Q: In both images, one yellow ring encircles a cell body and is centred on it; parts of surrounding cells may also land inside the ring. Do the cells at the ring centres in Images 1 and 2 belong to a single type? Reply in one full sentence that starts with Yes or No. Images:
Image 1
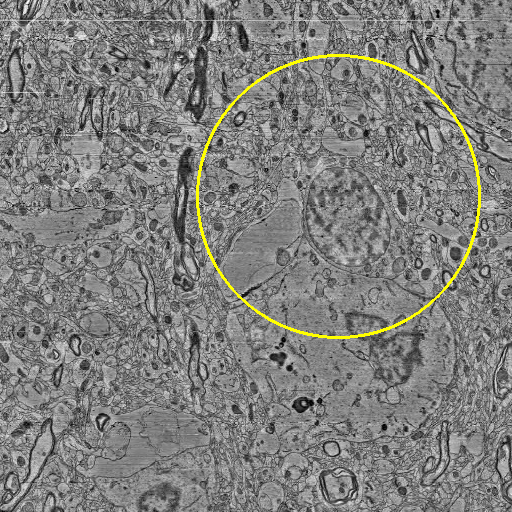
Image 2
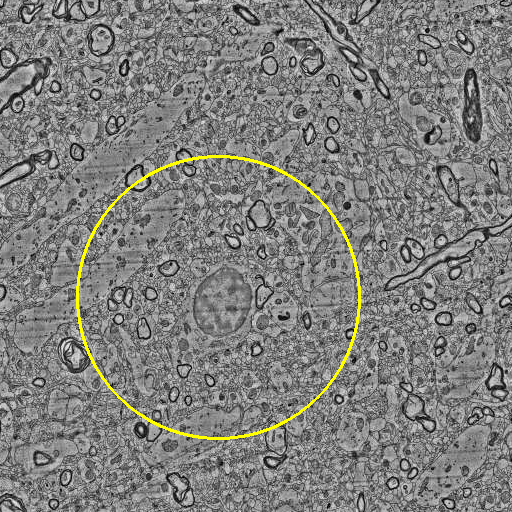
Yes, the cells at the ring centres in Images 1 and 2 are of a single type.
